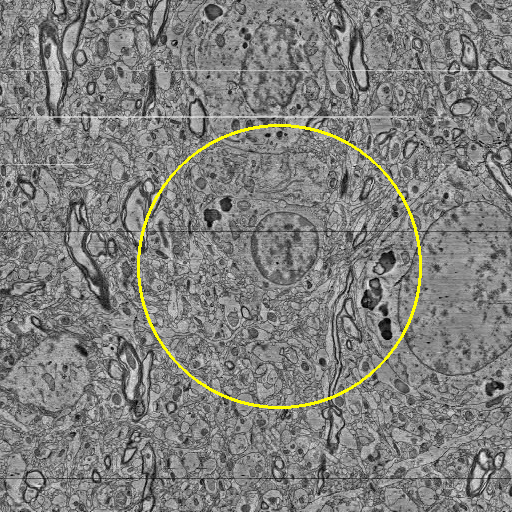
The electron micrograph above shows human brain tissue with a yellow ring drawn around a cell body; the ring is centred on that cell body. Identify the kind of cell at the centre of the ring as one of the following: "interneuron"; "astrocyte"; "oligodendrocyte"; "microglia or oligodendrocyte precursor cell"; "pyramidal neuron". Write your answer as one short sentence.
The cell at the centre of the ring is an oligodendrocyte.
